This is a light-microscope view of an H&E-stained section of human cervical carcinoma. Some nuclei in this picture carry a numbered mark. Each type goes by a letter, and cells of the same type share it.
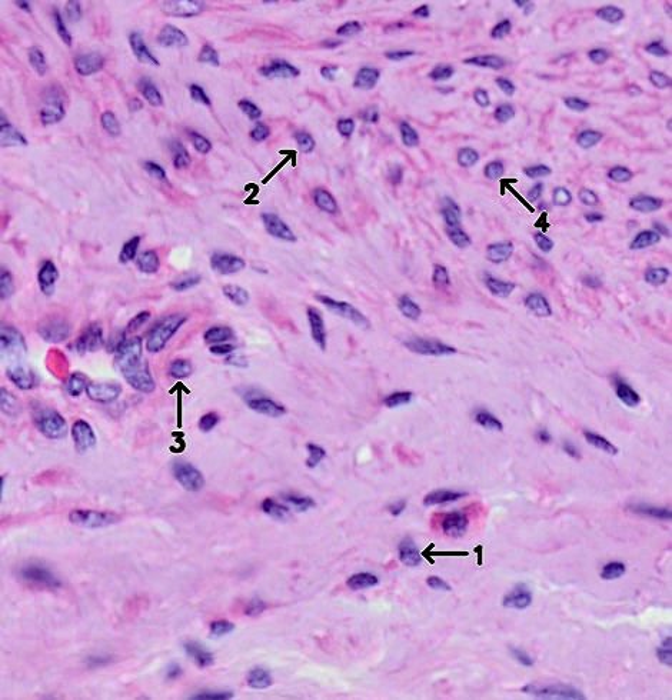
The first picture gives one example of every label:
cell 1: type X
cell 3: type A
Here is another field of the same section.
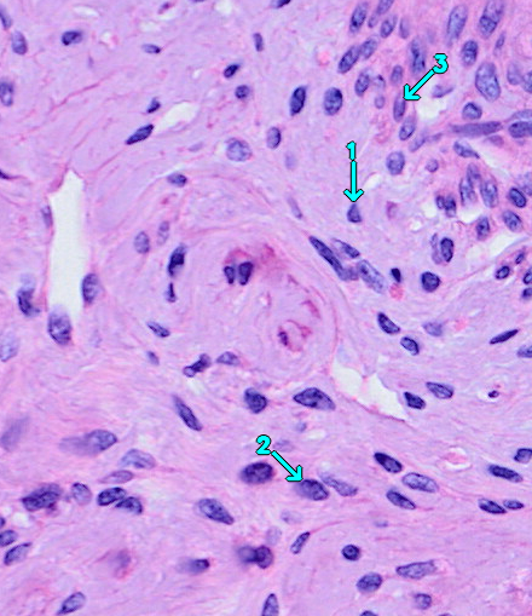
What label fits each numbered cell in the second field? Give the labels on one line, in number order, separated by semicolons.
type X; type X; type A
